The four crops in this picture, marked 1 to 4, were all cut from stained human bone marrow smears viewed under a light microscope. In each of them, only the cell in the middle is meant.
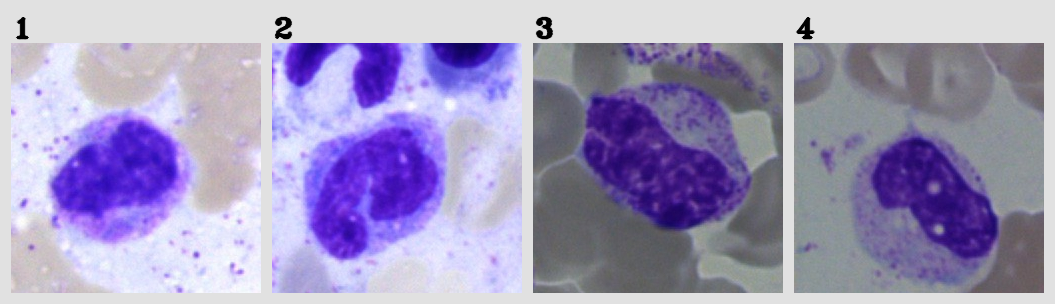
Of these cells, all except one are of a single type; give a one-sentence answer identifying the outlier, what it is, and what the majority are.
The set is made up of metamyelocytes, with the single exception of crop 2, which is a monocyte.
